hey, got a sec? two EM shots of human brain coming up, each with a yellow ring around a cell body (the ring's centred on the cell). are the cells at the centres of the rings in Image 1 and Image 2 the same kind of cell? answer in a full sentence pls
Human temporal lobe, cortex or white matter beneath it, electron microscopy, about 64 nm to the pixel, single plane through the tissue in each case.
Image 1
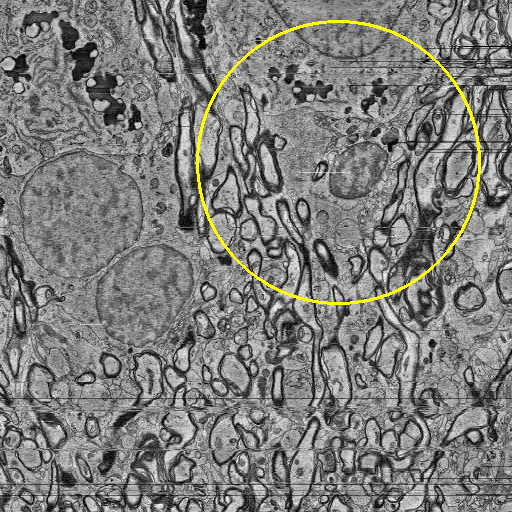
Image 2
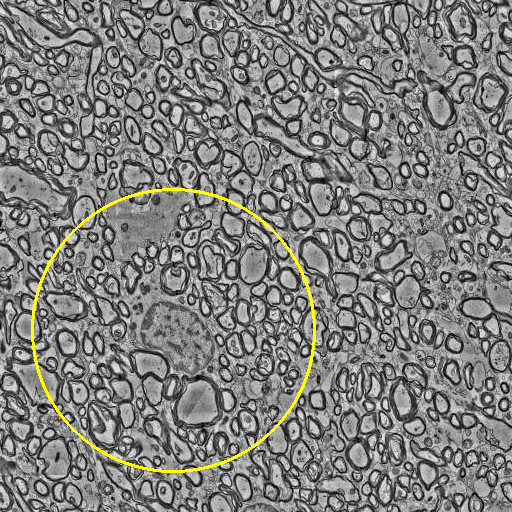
No, they are two kinds of cell.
